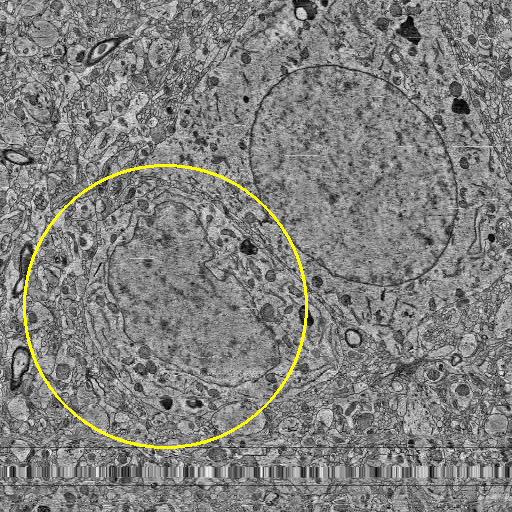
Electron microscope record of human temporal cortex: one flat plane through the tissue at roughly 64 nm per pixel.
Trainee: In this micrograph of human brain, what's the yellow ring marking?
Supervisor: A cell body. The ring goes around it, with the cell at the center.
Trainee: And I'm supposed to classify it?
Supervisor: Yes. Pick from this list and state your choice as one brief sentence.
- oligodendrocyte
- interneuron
The cell at the ring's center is an interneuron.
